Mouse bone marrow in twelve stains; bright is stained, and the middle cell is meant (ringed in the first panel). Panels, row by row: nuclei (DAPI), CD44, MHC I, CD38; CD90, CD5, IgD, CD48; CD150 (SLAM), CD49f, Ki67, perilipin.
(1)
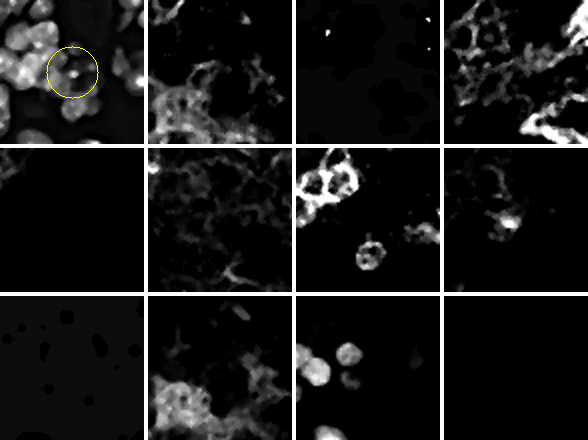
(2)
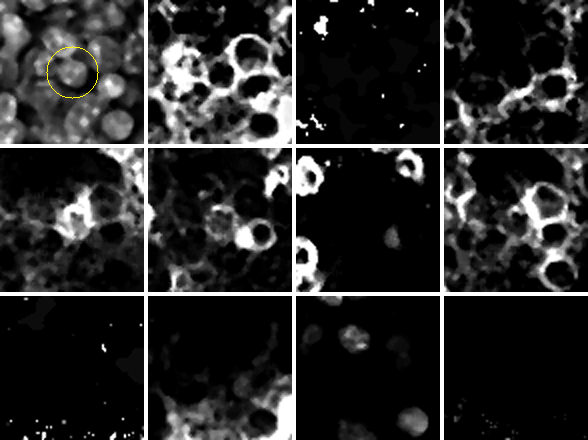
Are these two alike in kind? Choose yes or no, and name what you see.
No. First a monocyte, second a T cell.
